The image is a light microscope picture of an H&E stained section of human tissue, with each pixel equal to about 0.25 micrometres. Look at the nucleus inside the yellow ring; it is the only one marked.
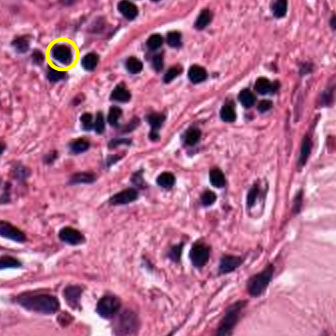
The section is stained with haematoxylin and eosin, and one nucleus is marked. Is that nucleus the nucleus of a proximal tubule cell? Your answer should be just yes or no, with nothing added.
no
